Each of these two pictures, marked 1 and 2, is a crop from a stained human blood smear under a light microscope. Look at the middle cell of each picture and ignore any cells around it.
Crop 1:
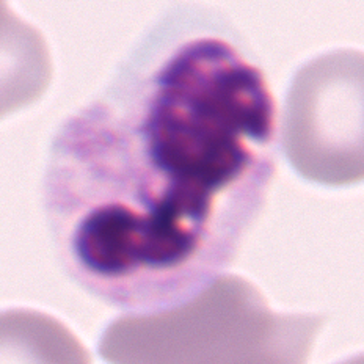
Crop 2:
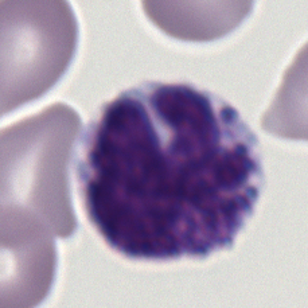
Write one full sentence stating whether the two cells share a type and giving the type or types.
No, for crop 1 the cell is a segmented neutrophil, and for crop 2 it is a basophil.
